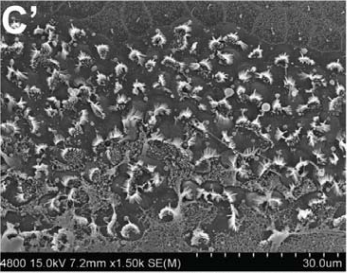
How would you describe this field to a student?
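This surface view shows hair cells whose stereocilia bundles point in many different directions, many of them splayed or irregular in shape. The cells no longer line up in regular rows but are scattered across the surface.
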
